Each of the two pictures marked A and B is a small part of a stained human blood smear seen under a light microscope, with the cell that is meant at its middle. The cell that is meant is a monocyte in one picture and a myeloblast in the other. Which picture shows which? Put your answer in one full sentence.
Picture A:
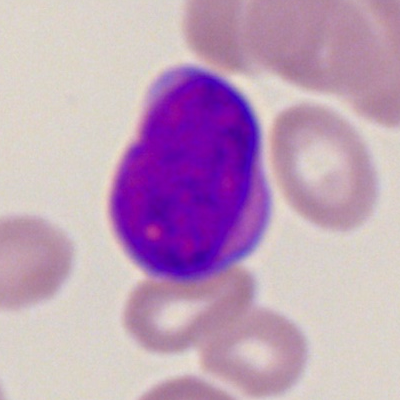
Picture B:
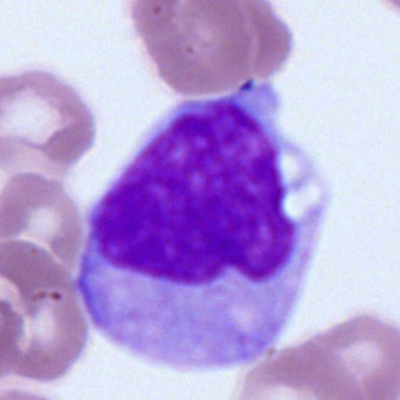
The cell in picture A is a myeloblast, and the one in picture B is a monocyte.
